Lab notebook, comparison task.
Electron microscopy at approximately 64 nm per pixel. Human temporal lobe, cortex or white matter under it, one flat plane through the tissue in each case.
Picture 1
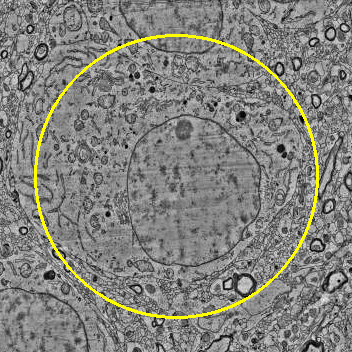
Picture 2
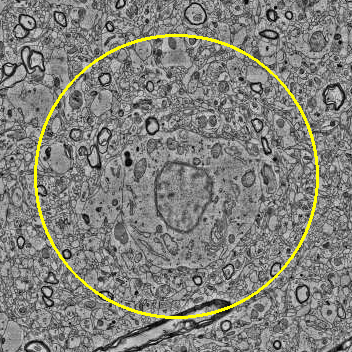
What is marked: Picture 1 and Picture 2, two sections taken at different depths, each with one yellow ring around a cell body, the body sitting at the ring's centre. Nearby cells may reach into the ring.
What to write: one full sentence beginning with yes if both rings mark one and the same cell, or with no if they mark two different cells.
No, the rings surround different cells rather than one cell.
